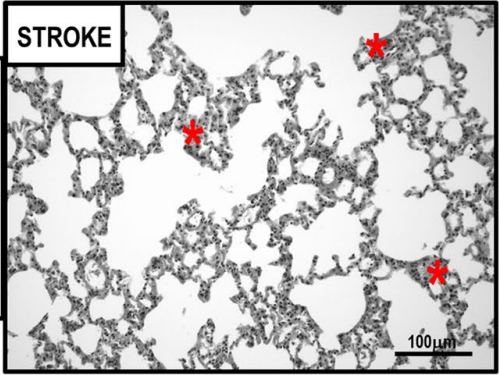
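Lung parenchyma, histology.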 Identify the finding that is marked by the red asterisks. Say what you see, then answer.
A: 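The asterisks lie on dense, cell-rich areas where alveolar spaces are collapsed. Septa around the asterisks are thickened compared with open alveoli elsewhere.
Conclusion: atelectasis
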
